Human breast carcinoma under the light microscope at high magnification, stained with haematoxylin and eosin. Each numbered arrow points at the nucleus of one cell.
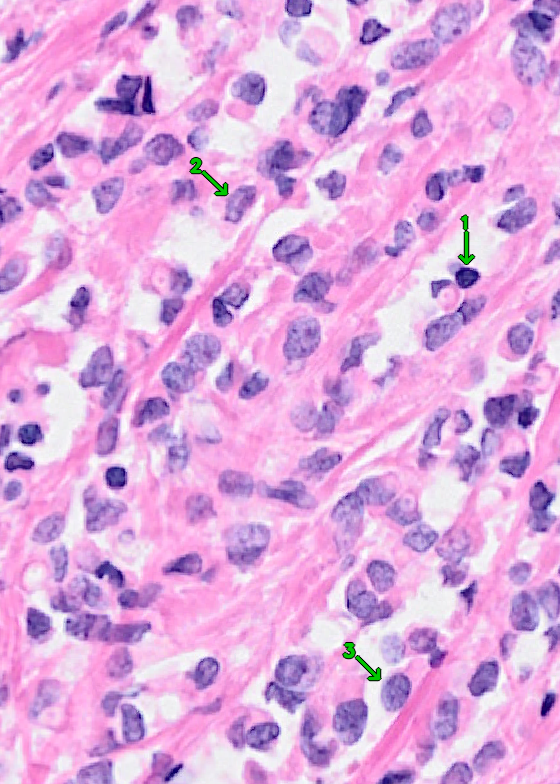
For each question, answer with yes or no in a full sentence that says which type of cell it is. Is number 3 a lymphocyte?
No, the cell denoted 3 is a carcinoma cell rather than a lymphocyte.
